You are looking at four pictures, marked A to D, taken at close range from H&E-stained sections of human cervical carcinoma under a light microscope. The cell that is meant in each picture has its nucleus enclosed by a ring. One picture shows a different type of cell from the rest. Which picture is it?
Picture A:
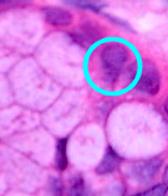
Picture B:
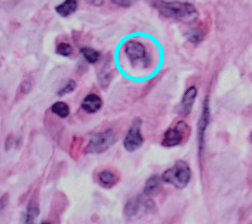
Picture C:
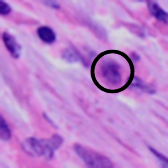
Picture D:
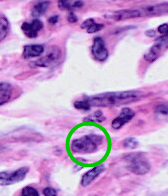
A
